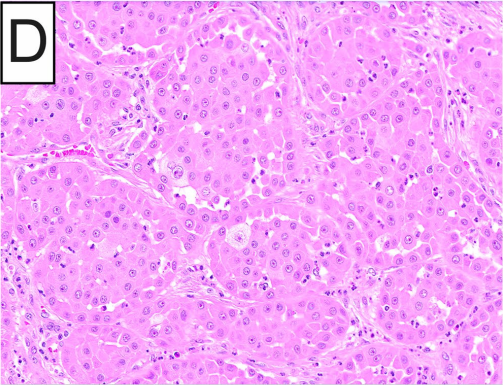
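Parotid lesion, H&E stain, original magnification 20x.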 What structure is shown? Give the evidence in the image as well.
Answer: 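Rounded groups of pink polygonal cells are separated by bands of stroma. The cells within each group lie closely packed.
Answer: islands and nests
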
